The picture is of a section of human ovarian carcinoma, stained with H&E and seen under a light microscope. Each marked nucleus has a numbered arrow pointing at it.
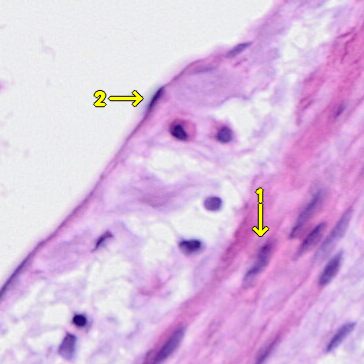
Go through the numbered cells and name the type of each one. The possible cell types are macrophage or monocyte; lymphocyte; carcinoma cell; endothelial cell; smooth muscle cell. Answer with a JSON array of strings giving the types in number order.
["smooth muscle cell", "endothelial cell"]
